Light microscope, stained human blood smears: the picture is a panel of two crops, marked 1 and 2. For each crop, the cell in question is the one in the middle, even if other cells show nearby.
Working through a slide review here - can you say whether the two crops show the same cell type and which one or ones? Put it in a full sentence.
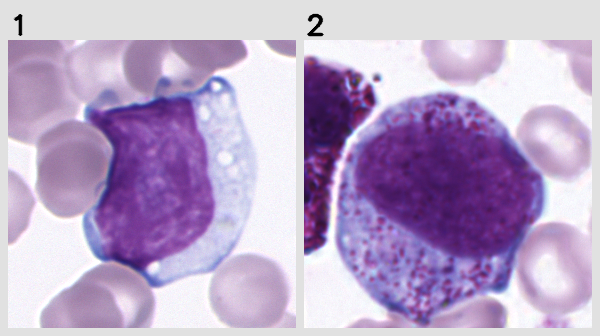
No, look again: crop 1 shows a myeloblast, and crop 2 shows a promyelocyte.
